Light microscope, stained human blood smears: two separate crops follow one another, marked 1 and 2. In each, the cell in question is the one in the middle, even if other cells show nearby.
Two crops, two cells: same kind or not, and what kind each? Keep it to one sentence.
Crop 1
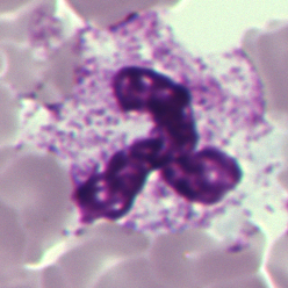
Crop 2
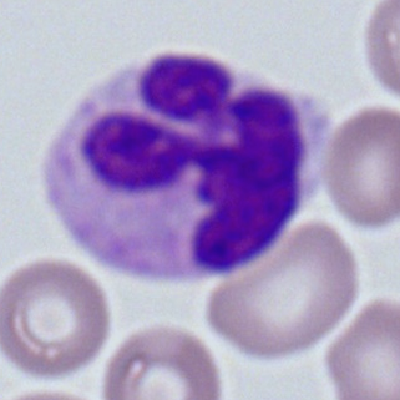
Yes, both crops have neutrophils as their central cells.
